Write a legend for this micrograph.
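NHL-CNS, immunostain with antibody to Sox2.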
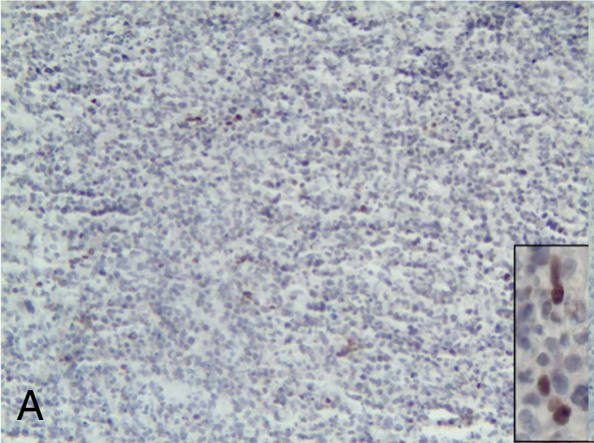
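A densely cellular tumor is shown as crowded small cells with dark blue-counterstained round nuclei filling the field, with a few small clear spaces between them. Scattered sparse cells among them show brown-stained nuclei, some elongated, standing out singly against the blue background. The inset enlarges several cells: some nuclei are stained brown while others are blue, and the brown ones are oval to elongated with a little surrounding cytoplasm.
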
